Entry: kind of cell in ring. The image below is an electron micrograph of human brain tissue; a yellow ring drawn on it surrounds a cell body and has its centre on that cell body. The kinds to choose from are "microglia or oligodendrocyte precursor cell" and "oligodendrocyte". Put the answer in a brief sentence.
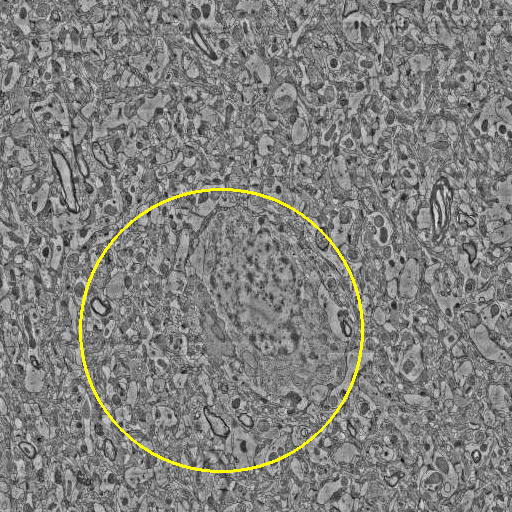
The ring has been drawn around an oligodendrocyte.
